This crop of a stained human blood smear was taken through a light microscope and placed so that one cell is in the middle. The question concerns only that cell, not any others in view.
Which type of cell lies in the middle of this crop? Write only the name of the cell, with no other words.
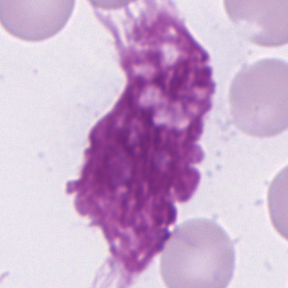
smudge cell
